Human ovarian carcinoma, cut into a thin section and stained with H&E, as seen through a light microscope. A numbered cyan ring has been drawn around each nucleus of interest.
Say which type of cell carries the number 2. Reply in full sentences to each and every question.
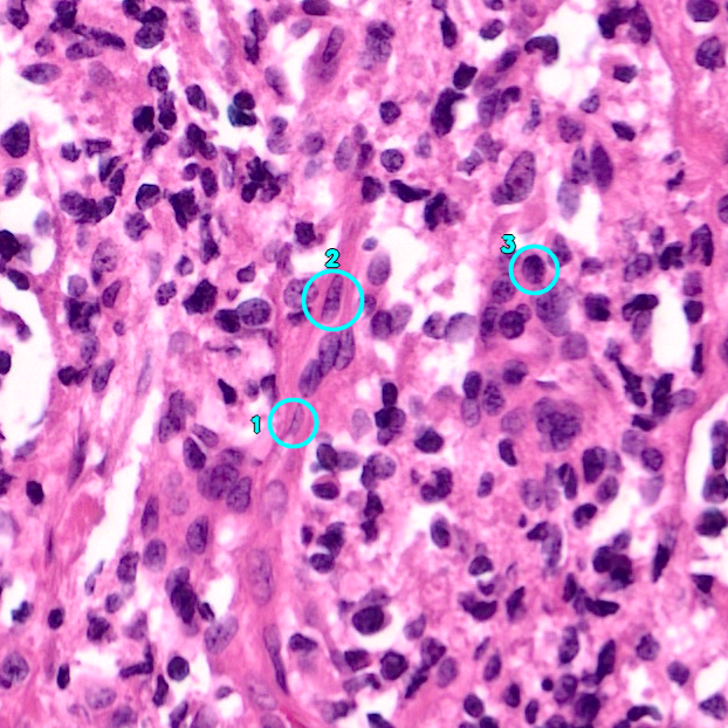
Cell 2 in the field is an endothelial cell.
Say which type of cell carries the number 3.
Identified by the number 3, the cell is a carcinoma cell.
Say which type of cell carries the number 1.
The cell pointed out as number 1 is an endothelial cell.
